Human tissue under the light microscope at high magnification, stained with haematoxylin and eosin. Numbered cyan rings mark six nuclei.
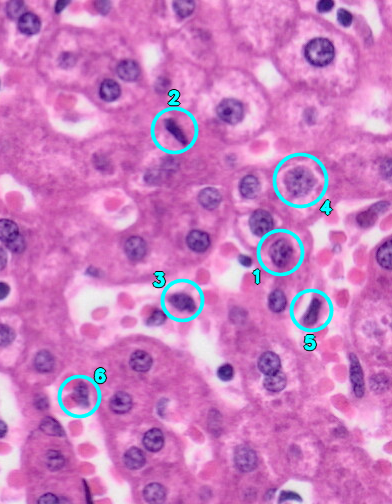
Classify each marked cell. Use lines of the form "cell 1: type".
cell 1: hepatocyte
cell 2: fibroblast or stellate cell
cell 3: Kupffer cell
cell 4: hepatocyte
cell 5: Kupffer cell
cell 6: endothelial cell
